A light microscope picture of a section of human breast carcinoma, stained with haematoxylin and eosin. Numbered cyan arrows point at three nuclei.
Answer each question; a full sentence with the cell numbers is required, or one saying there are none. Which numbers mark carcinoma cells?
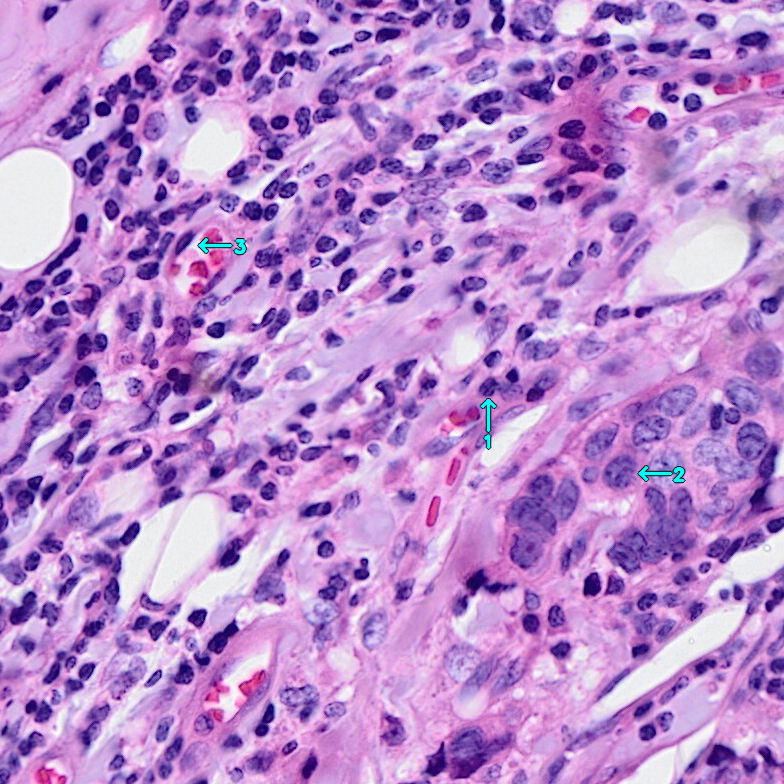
The only cell among those numbered to be a carcinoma cell is number 2.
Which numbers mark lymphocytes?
Where the numbered cells are concerned, only number 1 is a lymphocyte.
